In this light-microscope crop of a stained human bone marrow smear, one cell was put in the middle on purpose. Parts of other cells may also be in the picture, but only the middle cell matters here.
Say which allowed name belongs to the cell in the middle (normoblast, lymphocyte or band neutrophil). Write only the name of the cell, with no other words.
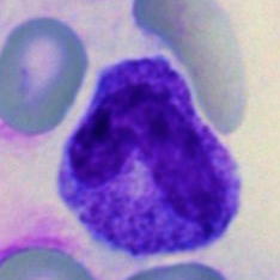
band neutrophil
